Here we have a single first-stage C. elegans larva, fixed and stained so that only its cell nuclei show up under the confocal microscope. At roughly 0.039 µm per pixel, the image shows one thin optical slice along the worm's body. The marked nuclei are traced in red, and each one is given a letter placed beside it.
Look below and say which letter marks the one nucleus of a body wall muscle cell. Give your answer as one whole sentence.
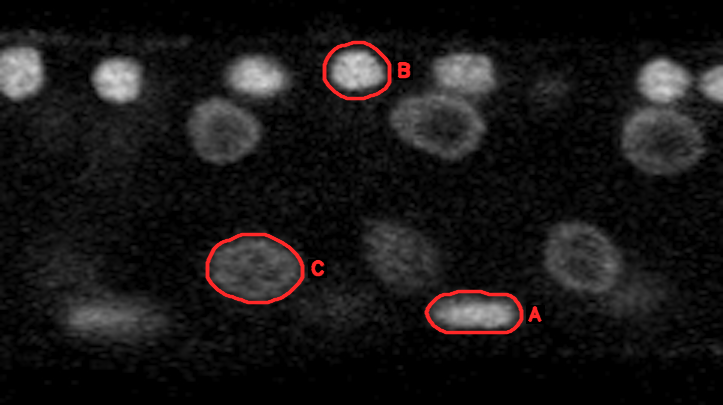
Of the marked nuclei, A is the one in a body wall muscle cell.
